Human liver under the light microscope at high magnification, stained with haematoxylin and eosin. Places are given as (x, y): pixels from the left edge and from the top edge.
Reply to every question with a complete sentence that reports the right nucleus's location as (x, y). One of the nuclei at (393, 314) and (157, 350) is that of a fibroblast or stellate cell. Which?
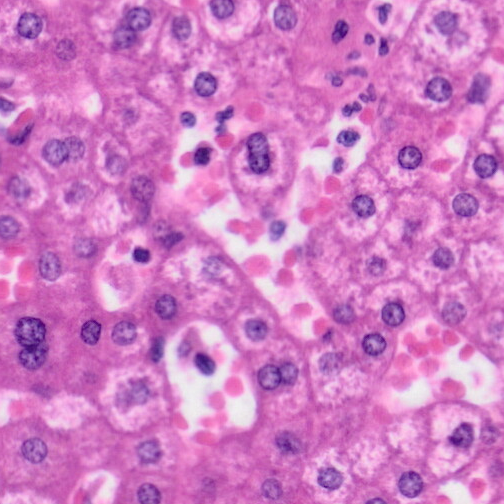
So, of the two, the nucleus at (157, 350) is the one belonging to a fibroblast or stellate cell.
